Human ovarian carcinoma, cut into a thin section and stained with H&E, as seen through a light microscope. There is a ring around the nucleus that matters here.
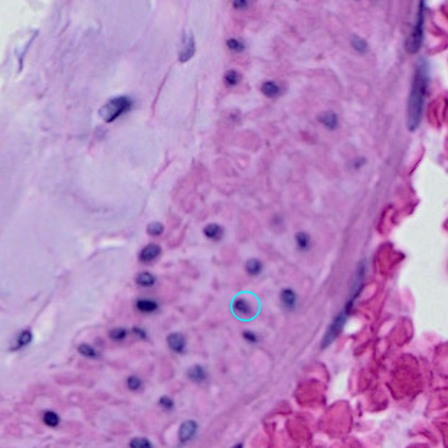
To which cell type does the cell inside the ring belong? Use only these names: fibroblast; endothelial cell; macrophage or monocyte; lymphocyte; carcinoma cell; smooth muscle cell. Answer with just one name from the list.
smooth muscle cell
